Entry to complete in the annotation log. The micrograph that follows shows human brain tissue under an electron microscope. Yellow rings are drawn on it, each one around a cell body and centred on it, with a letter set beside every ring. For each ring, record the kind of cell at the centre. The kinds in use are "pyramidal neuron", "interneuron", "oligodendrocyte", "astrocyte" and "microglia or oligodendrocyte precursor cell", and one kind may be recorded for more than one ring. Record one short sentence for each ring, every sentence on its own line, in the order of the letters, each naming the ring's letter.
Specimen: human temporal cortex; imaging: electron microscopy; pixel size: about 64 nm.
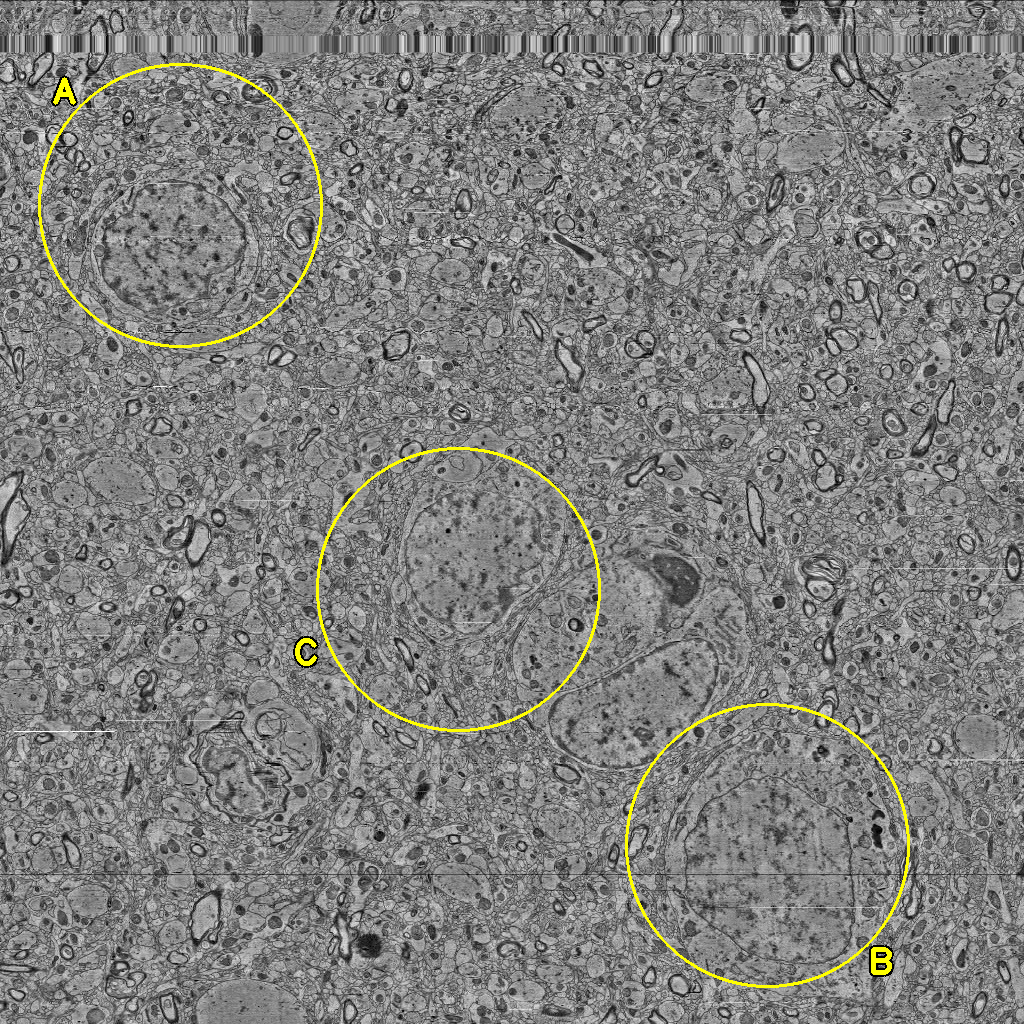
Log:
Ring A is placed around an interneuron.
Ring B is placed around a pyramidal neuron.
Ring C is placed around an interneuron.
